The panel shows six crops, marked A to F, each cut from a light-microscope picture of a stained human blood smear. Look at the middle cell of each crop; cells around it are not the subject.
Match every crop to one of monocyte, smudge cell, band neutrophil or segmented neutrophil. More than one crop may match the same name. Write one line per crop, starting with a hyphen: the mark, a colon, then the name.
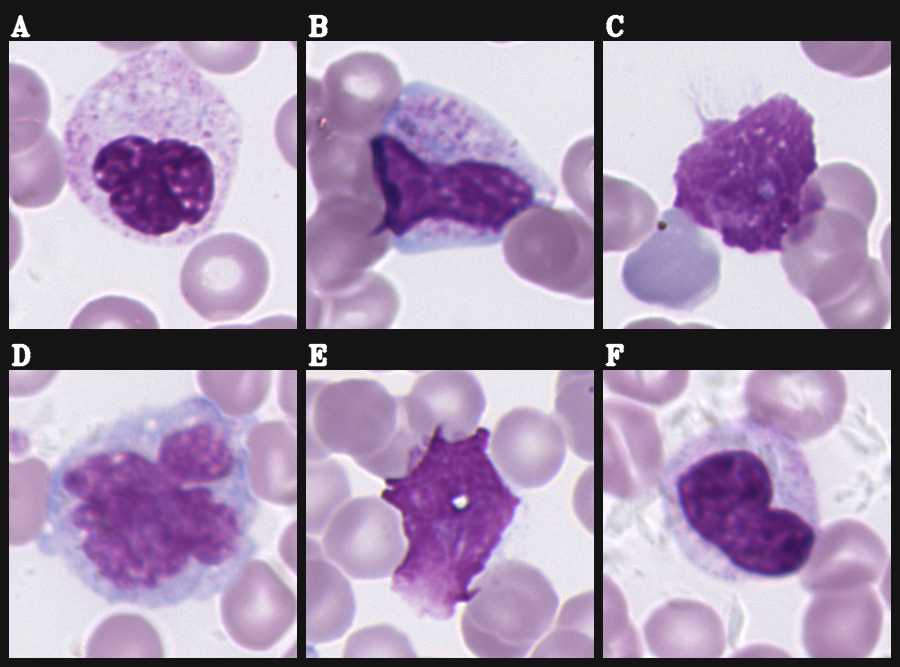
- A: segmented neutrophil
- B: band neutrophil
- C: smudge cell
- D: monocyte
- E: smudge cell
- F: band neutrophil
